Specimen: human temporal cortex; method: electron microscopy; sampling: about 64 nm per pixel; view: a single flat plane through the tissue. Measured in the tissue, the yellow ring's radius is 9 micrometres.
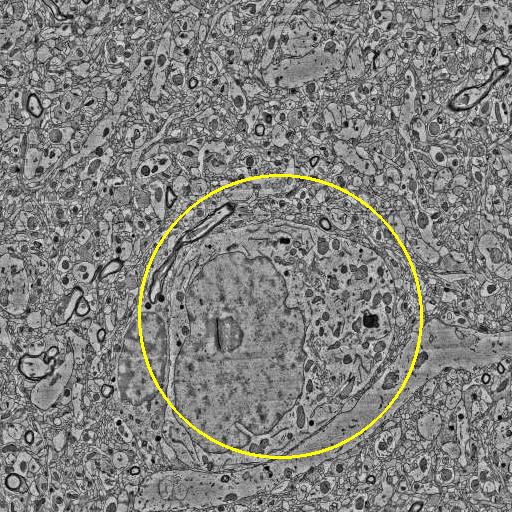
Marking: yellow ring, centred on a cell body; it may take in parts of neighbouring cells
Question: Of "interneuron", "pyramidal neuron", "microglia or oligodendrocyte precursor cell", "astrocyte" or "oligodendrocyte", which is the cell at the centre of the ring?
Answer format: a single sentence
The ring surrounds the body of an interneuron.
